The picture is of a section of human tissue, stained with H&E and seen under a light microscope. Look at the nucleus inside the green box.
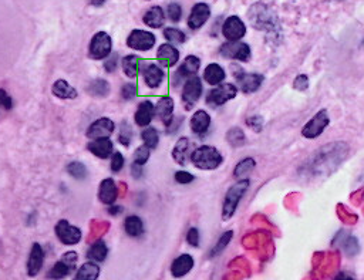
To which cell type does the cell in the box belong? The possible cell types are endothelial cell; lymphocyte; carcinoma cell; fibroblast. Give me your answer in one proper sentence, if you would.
For cell typing purposes, the cell in the box is a lymphocyte.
